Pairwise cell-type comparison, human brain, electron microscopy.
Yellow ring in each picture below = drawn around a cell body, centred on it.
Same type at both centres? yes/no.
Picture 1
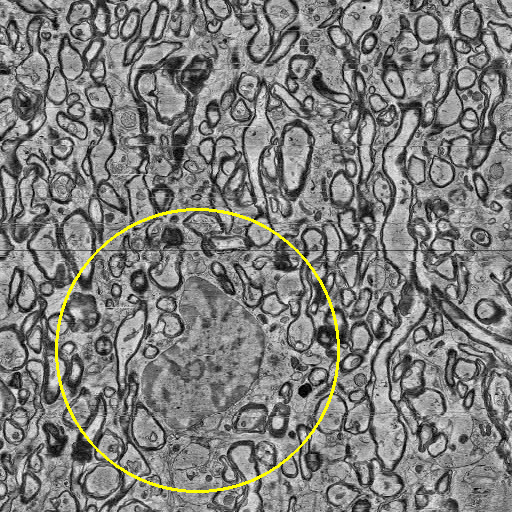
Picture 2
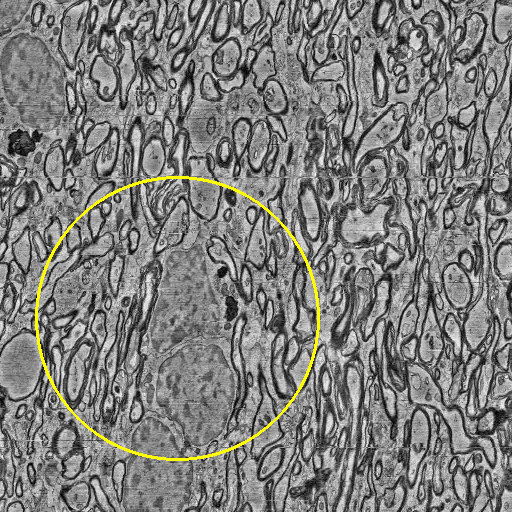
no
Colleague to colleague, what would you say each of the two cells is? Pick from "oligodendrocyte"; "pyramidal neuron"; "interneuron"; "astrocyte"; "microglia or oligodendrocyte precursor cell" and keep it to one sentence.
The cell in the first picture is a microglial cell or oligodendrocyte precursor cell; the second picture's cell is an oligodendrocyte.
